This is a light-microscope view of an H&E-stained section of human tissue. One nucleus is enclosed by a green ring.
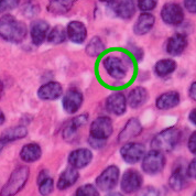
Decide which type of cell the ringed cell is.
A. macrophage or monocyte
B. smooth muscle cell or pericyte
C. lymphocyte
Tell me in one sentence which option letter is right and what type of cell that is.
Right answer, option C: the ringed cell is a lymphocyte.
